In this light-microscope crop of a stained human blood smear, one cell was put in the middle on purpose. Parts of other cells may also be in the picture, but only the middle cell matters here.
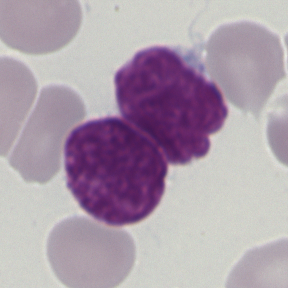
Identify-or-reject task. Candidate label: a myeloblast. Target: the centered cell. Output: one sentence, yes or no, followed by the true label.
Yes, the middle of the crop is occupied by a myeloblast.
